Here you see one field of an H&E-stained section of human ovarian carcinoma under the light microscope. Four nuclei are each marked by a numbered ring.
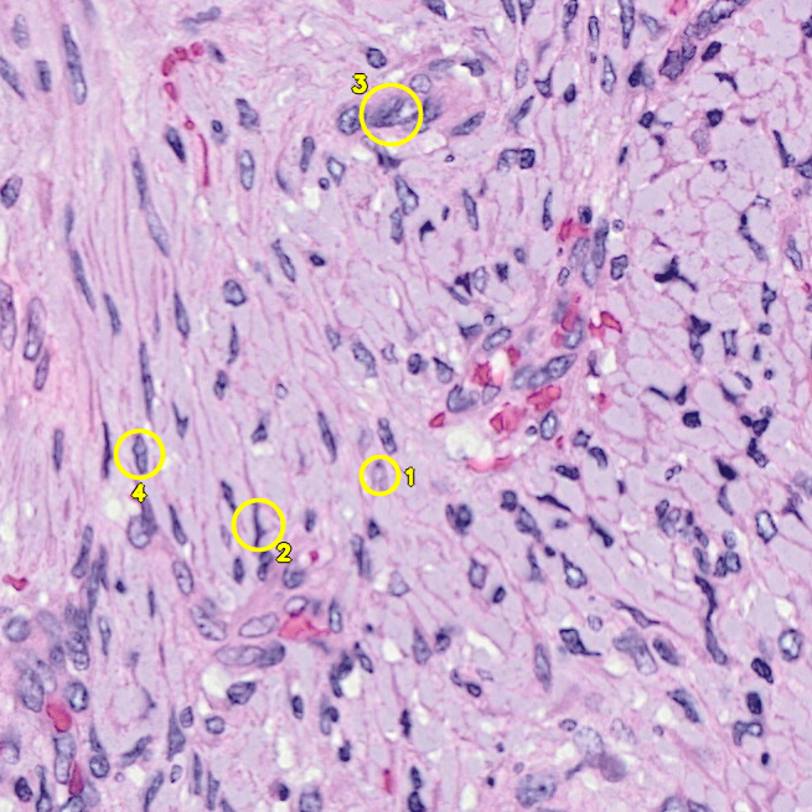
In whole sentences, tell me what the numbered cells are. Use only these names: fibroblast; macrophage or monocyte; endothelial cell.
Cell 1 is a fibroblast, cell 2 is a fibroblast, cell 3 is an endothelial cell and cell 4 is a fibroblast.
